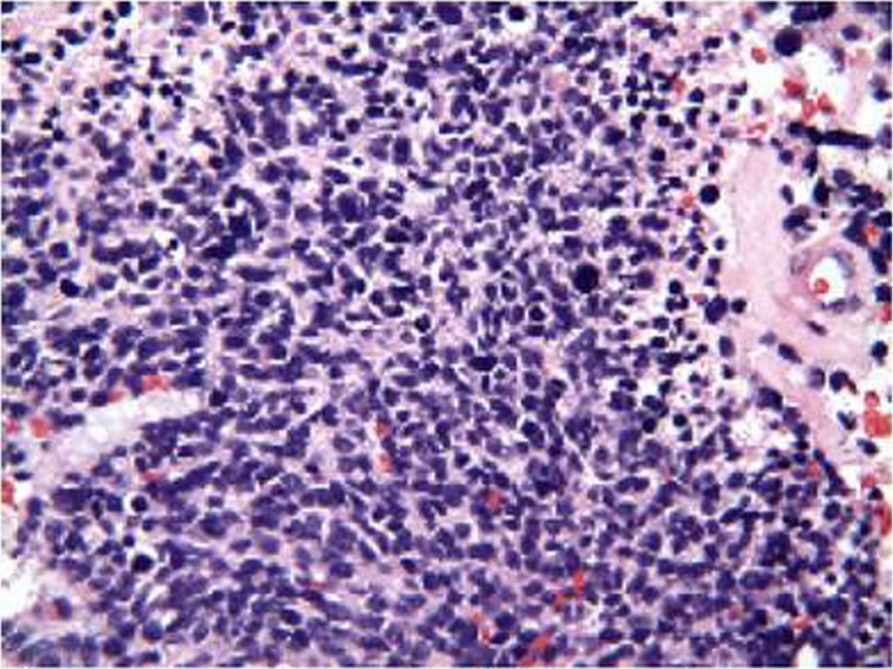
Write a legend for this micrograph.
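The tumor is made of sheets of small, round, undifferentiated cells with scant cytoplasm and round or oval dark purple nuclei. Between the cells lie areas of pale pink fibrillar material. Near the centre there is a single very dark, round, condensed nucleus. At the right edge, a vessel with a pink wall holds red blood cells.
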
